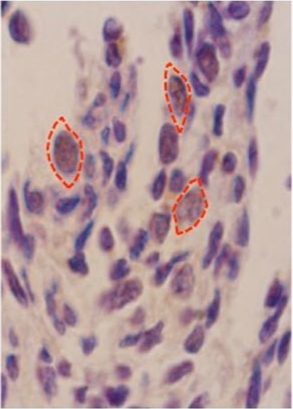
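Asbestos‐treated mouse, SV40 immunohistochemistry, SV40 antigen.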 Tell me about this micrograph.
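This is a tumour of densely packed mesothelial cells. The cells have oval to spindle-shaped nuclei that stain blue-purple, many with visible chromatin granules. The cells are crowded with little cytoplasm between them, and a paler loose background shows at the edges. A few larger oval nuclei, outlined, carry a faint brownish tinge mixed with the blue.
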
